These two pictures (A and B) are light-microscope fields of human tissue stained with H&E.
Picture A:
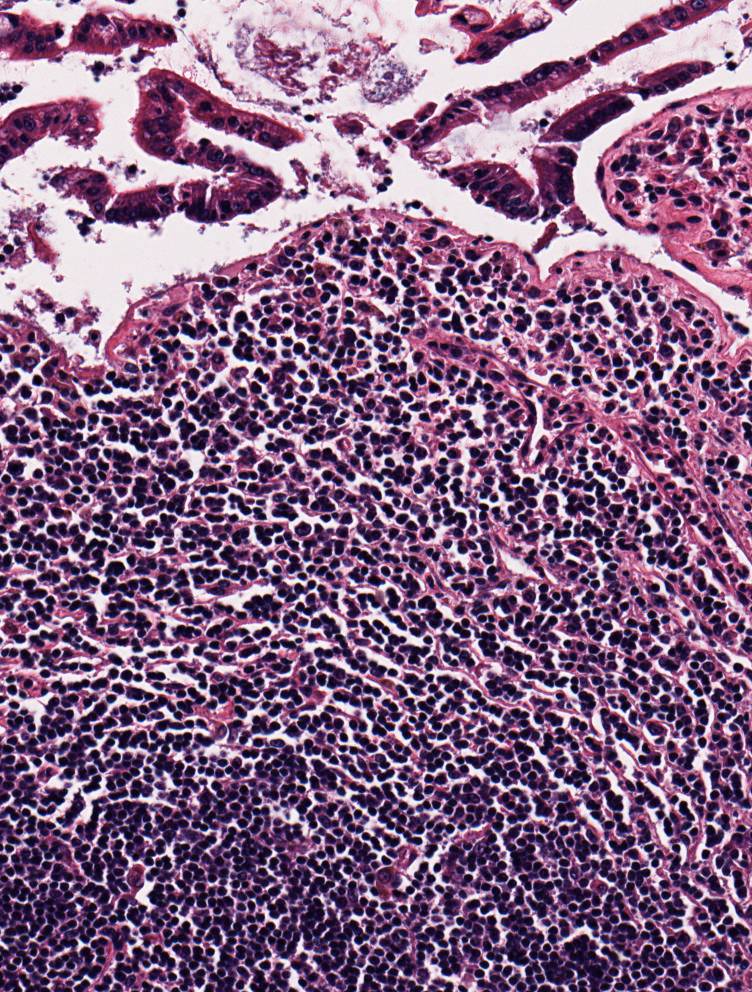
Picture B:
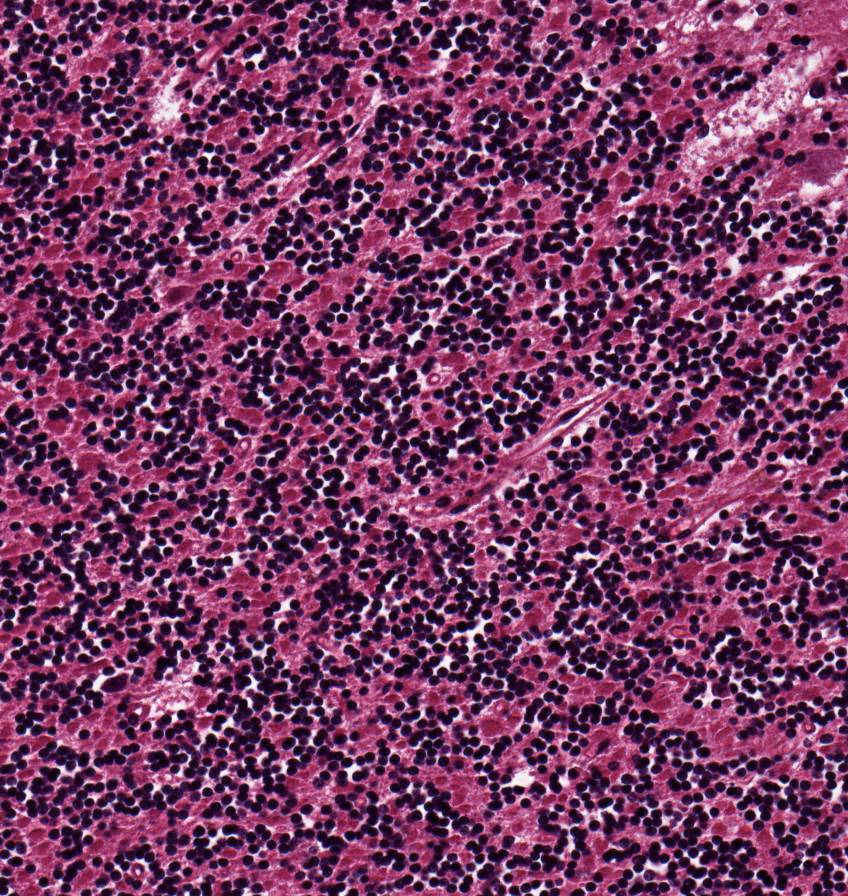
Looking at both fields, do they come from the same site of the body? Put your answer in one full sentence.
No: picture A comes from the terminal ileum, but picture B comes from the cerebellum.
